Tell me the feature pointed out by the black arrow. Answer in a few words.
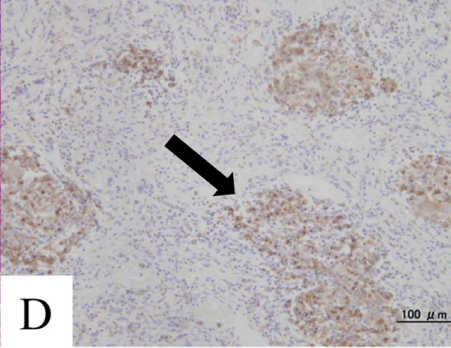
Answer: Granuloma.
